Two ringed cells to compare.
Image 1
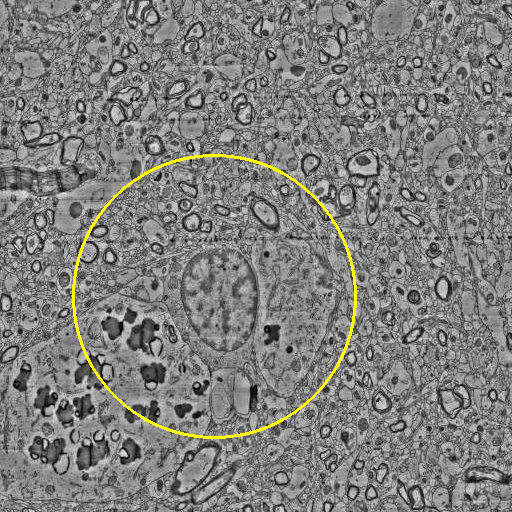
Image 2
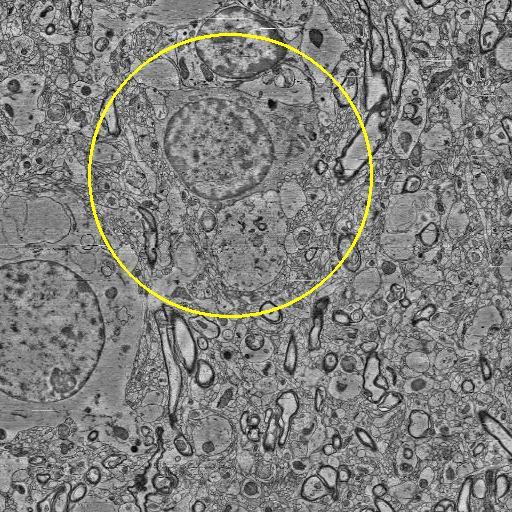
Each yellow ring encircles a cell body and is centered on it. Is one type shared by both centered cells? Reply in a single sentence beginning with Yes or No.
Yes, a single type is shared by the two cells at the centers of the rings.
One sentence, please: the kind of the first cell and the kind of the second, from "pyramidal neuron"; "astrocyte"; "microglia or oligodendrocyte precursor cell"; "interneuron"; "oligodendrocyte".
Each of the ringed cells, first and second, is an oligodendrocyte.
